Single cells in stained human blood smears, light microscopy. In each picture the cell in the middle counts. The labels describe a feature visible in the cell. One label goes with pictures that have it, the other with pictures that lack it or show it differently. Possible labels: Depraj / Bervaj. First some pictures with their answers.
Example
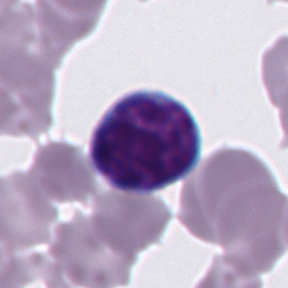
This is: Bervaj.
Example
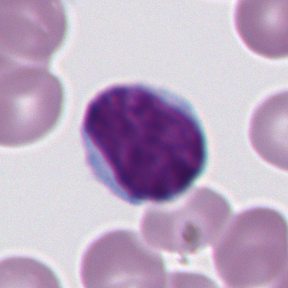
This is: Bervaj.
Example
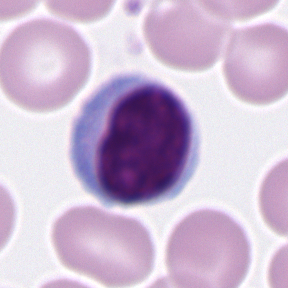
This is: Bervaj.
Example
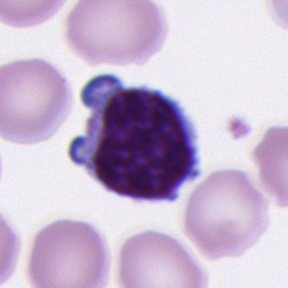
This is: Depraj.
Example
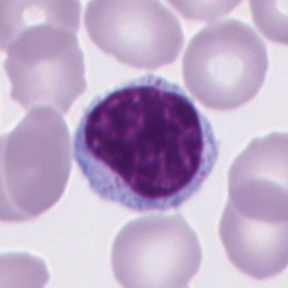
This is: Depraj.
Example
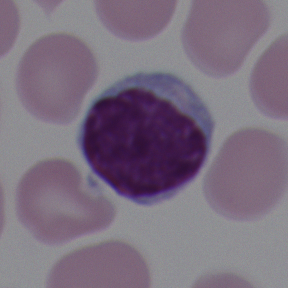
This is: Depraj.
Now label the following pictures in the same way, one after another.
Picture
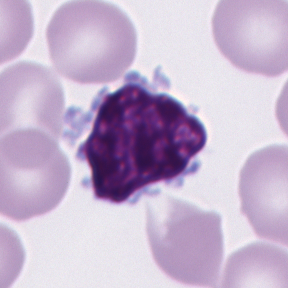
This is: Depraj.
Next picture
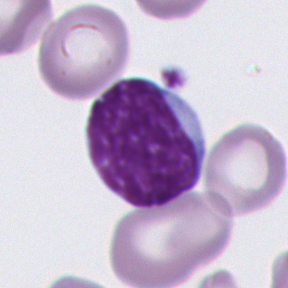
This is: Bervaj.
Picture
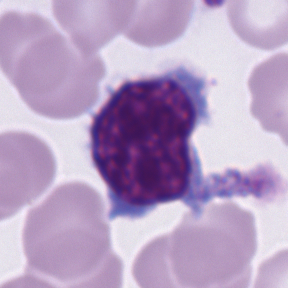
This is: Depraj.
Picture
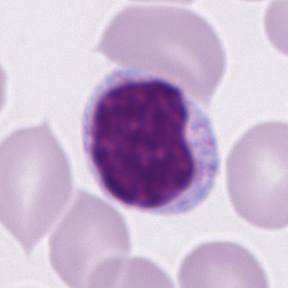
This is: Bervaj.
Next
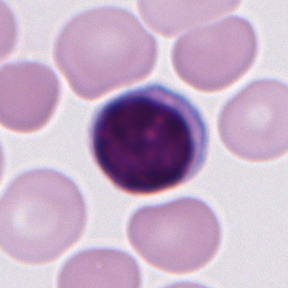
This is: Bervaj.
